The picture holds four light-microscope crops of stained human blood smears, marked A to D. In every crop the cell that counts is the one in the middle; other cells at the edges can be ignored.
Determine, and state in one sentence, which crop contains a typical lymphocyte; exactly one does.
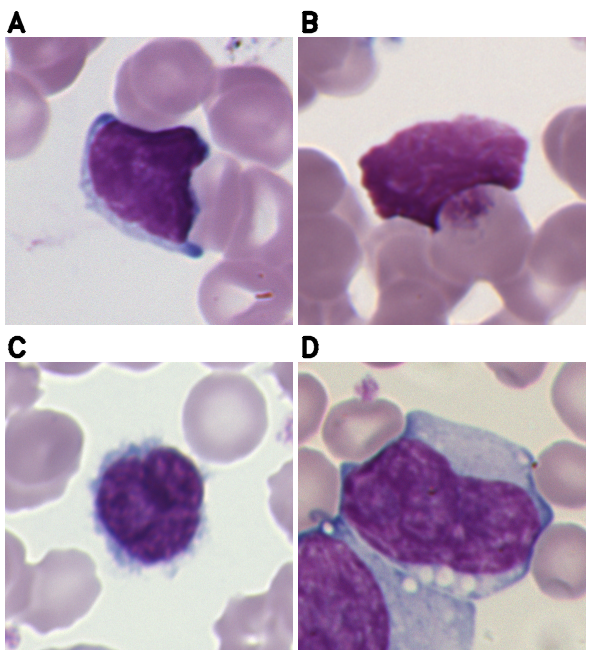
The one crop that shows a typical lymphocyte is crop A.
